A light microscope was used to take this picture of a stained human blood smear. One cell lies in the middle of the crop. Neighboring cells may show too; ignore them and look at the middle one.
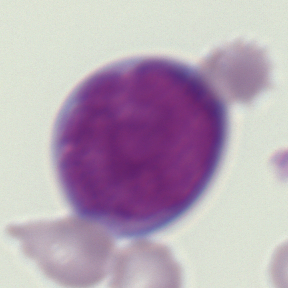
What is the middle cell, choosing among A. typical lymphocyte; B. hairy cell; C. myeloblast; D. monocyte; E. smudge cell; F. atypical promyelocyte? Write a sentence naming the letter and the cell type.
As the central cell is a myeloblast, option C is correct.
